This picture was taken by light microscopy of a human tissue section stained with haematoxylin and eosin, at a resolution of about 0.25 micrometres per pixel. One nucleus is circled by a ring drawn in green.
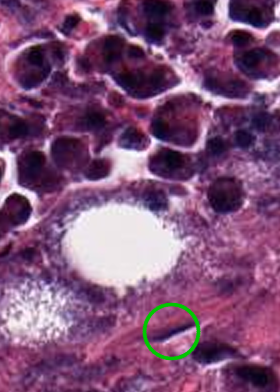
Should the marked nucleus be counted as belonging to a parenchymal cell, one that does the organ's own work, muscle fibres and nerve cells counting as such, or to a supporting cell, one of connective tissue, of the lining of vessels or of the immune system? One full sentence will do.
Located within a supporting cell is the nucleus that has been marked.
